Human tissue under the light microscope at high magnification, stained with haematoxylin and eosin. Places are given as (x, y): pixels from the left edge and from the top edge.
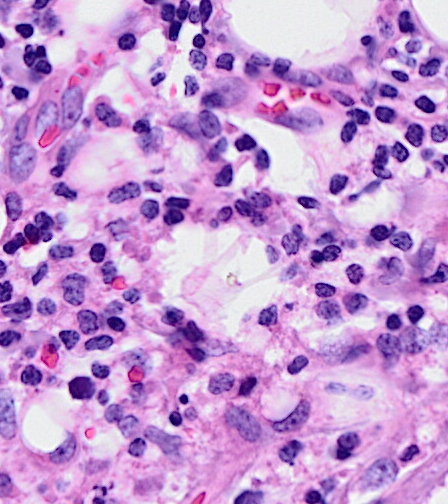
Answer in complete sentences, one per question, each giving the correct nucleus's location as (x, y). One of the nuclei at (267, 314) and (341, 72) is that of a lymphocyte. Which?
Assigned to a lymphocyte is the nucleus located at (267, 314).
